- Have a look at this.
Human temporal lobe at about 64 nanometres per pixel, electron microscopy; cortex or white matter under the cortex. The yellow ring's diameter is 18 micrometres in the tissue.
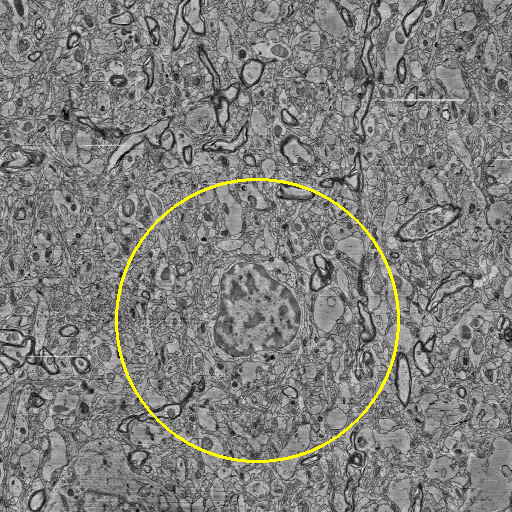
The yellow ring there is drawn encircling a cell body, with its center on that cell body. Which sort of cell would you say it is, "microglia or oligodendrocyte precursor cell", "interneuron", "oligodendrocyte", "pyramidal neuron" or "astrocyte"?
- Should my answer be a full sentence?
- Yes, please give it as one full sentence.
For this picture, a microglial cell or oligodendrocyte precursor cell is the cell where the yellow ring has its center.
